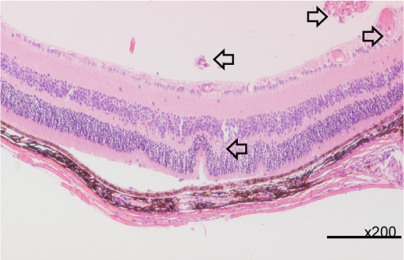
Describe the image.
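The layered architecture is still recognisable. There are two broad bands of densely packed, dark purple round nuclei, the inner and outer nuclear layers. These are separated and bordered by paler pink layers. Beneath them runs a dark brown-black pigmented band, with pink connective tissue below it. At one point near the middle, the outer nuclear band buckles and folds inward. In the clear space in front of the inner retinal surface lie several loose pink-purple clumps of cells and a vessel-like structure, consistent with infiltrating cells and inflamed vessels.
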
